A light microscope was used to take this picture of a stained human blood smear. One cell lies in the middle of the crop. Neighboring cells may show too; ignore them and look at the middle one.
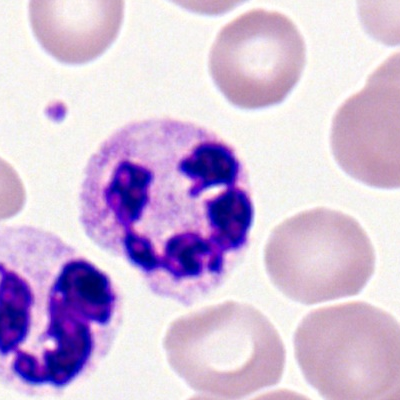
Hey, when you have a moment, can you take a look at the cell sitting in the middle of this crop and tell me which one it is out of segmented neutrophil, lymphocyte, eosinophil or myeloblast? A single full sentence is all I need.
Whatever else lies nearby, the middle cell is a segmented neutrophil.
